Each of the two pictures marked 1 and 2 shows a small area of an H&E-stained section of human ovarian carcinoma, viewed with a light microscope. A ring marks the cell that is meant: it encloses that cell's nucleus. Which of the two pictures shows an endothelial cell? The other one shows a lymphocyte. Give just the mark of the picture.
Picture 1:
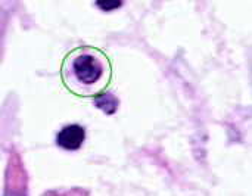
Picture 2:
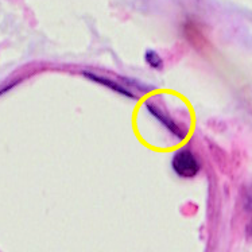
2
